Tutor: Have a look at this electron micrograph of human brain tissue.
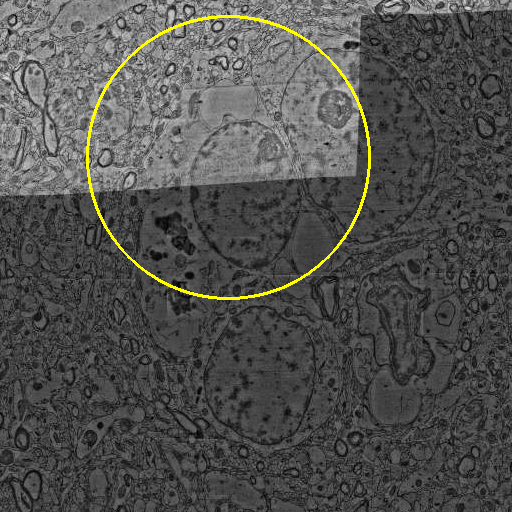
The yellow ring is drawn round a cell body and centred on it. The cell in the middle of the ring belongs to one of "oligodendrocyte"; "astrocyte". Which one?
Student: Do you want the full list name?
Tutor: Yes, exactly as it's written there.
astrocyte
